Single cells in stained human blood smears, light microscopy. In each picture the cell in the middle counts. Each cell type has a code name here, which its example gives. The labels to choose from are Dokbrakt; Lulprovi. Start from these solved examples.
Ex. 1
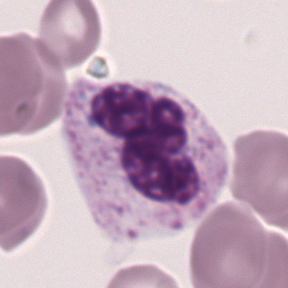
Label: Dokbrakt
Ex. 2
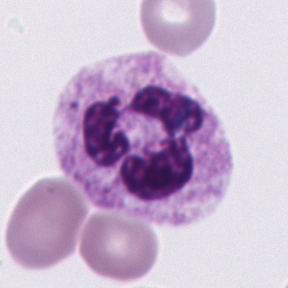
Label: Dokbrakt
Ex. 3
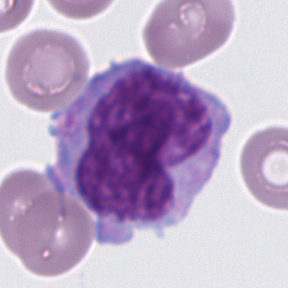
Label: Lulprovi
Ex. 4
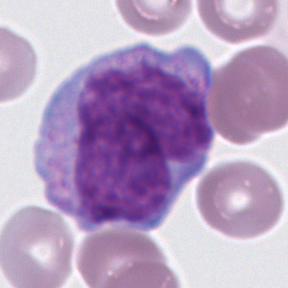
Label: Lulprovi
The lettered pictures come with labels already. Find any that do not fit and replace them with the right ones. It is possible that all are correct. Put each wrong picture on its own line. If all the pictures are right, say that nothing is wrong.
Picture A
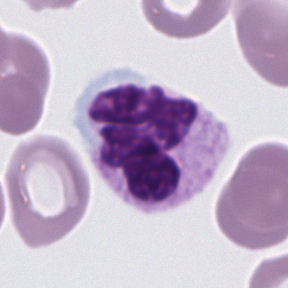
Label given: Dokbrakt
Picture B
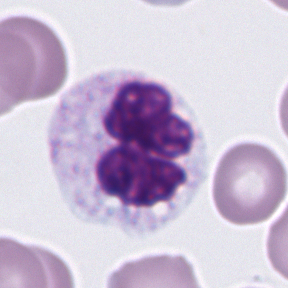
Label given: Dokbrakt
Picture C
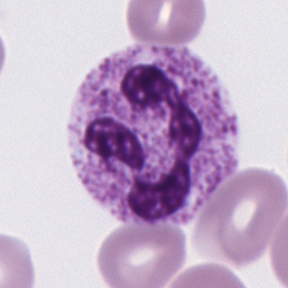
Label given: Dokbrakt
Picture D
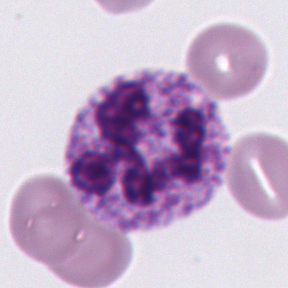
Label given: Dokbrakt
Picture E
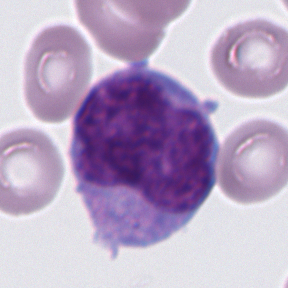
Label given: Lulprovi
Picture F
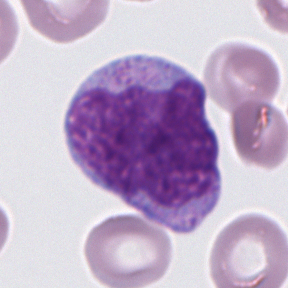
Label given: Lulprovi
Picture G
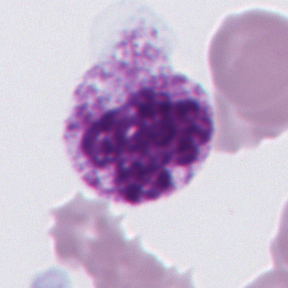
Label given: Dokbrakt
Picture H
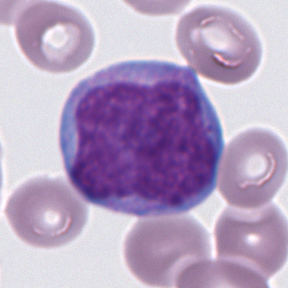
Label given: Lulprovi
None of the labels needs changing.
